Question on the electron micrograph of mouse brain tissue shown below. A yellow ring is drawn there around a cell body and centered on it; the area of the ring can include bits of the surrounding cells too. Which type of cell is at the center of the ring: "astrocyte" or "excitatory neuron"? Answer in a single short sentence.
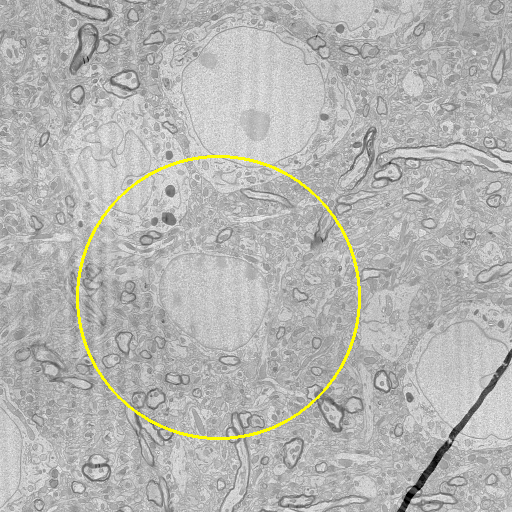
The ring is centered on an astrocyte.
